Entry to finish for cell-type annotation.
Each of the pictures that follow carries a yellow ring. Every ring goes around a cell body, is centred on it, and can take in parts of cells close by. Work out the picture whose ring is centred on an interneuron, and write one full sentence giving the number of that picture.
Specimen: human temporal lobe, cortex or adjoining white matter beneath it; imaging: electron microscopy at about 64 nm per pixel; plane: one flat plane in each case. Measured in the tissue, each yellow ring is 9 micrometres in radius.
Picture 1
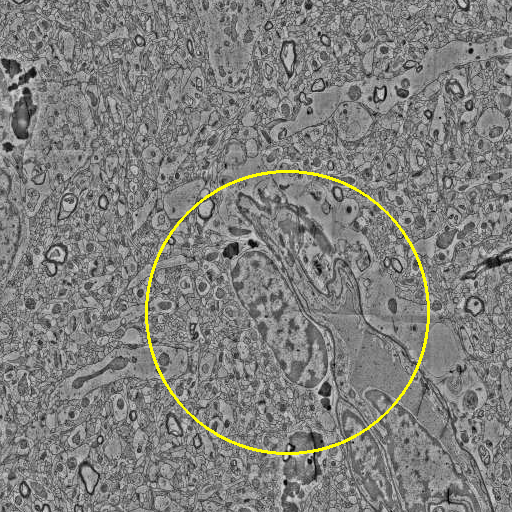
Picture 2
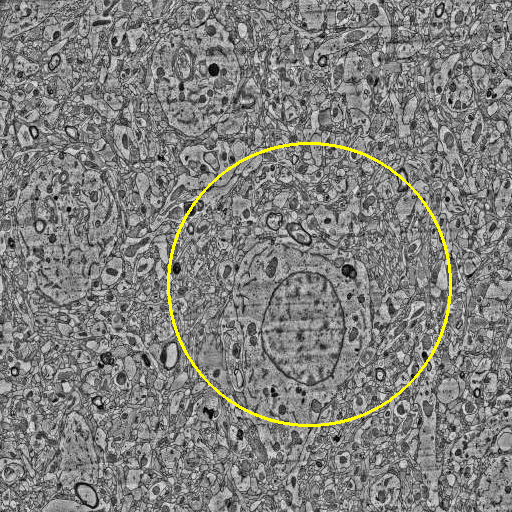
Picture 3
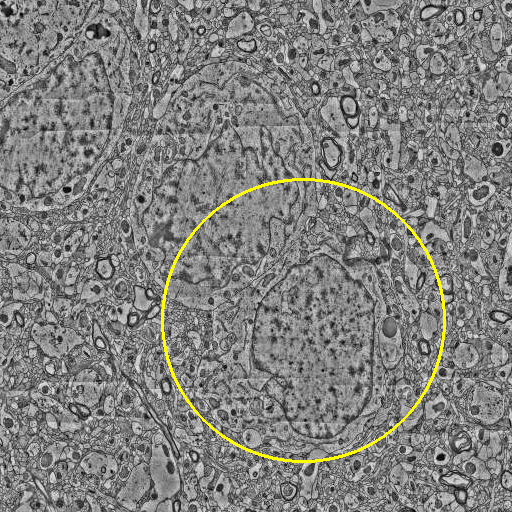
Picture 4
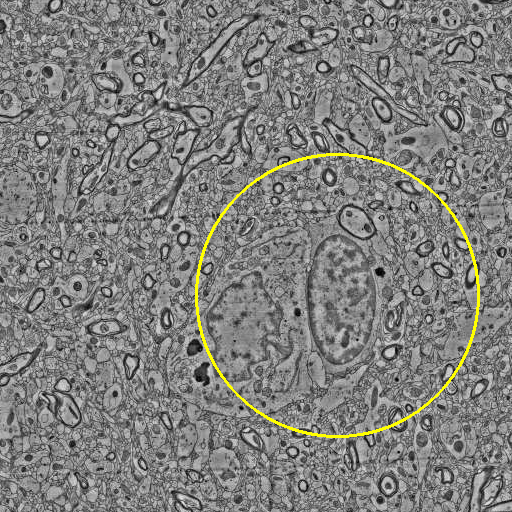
The cell at the heart of the ring in picture 3 matches the request.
